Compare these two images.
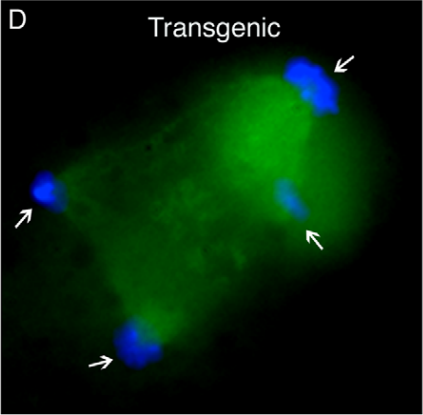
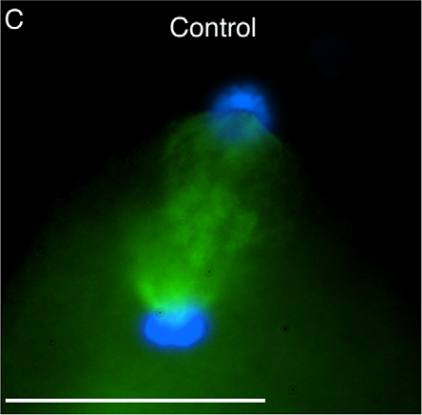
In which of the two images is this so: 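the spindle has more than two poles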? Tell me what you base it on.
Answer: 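The first image. Second image: one green spindle runs between two blue chromatin masses at opposite ends. First image: the green spindle is irregular, with four blue chromatin clusters at separate points.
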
